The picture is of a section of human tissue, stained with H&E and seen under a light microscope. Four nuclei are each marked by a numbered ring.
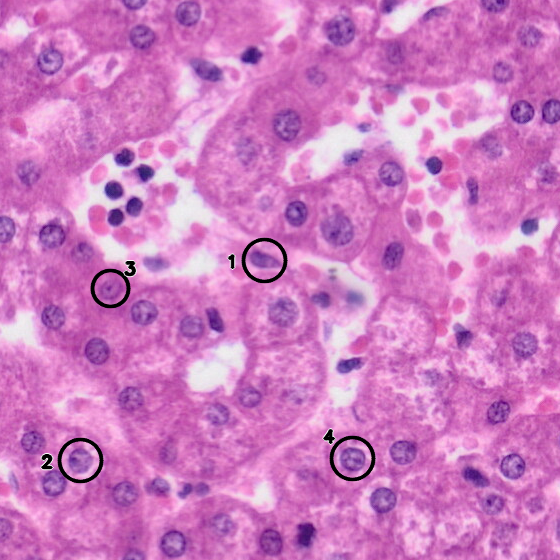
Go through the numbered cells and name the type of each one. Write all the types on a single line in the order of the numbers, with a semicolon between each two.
Kupffer cell; hepatocyte; hepatocyte; hepatocyte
